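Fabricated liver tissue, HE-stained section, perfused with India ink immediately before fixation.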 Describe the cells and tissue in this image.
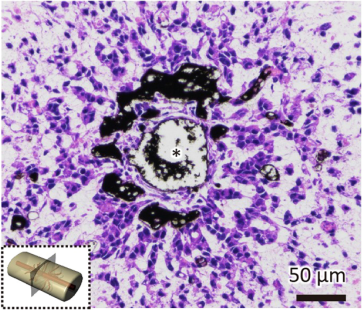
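Densely packed cells with dark purple nuclei and pinkish-purple cytoplasm fill the field, many appearing roughly arranged in cords radiating outward from the centre. The central channel is a round open lumen lined by a thin layer of flattened cells. Further away, small isolated black spots lie between the cells.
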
